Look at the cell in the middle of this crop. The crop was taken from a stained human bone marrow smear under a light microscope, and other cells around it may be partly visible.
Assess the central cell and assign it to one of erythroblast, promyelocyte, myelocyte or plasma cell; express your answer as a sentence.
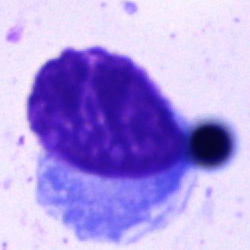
The central cell shown in this smear crop is a plasma cell.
